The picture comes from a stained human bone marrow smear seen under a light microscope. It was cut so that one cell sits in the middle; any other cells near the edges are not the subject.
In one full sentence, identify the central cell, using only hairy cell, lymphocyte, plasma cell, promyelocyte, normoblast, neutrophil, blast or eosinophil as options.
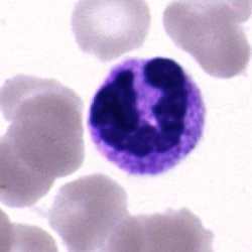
To answer, the cell in the center of the crop is a neutrophil.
